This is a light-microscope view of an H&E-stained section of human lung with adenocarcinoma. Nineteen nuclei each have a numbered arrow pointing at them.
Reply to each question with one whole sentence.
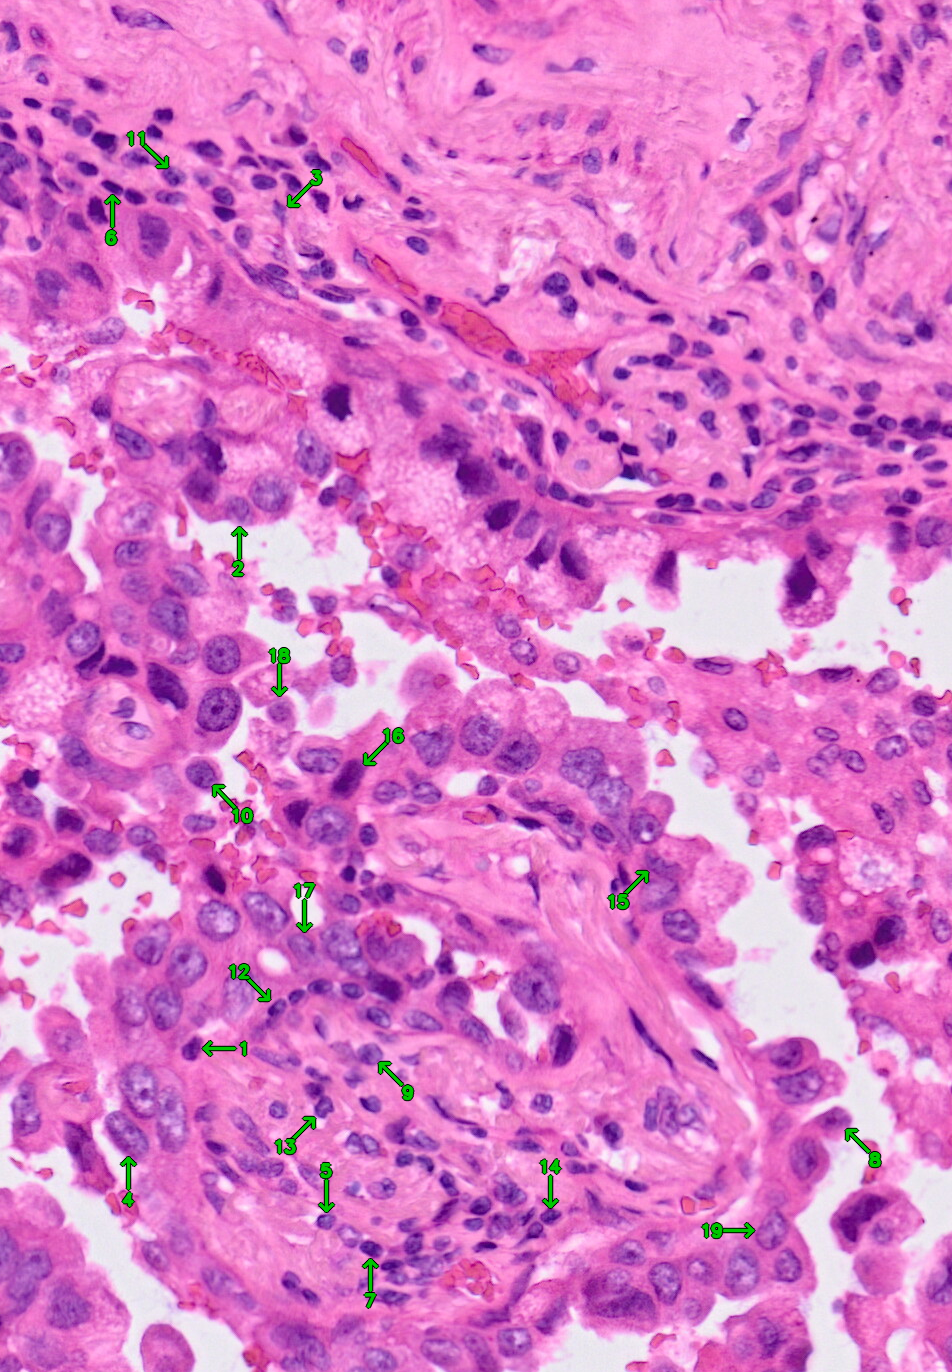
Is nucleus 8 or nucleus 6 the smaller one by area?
Nucleus 6 is the smaller one; nucleus 8 covers about 3 times its area.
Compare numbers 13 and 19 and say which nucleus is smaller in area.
Nucleus 13 is the smaller one; nucleus 19 covers about 3 times its area.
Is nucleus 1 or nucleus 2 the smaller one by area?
Number 1 is smaller, since number 2 takes up about 2 times as much area.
